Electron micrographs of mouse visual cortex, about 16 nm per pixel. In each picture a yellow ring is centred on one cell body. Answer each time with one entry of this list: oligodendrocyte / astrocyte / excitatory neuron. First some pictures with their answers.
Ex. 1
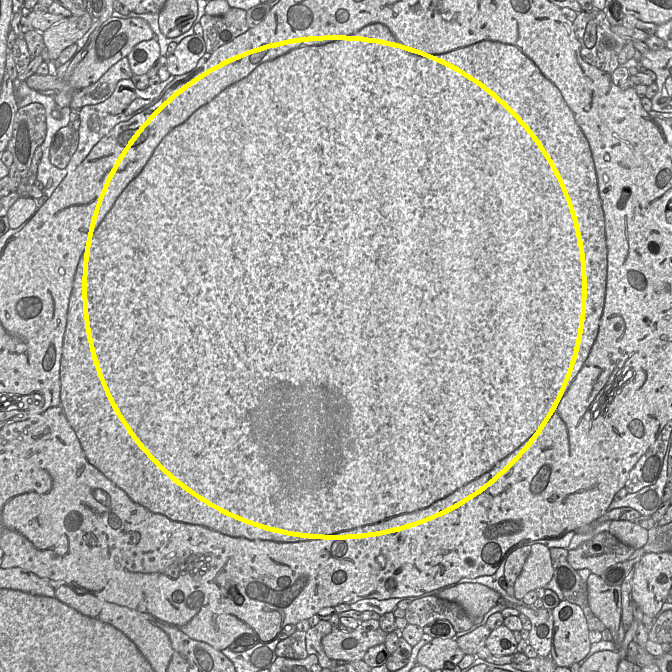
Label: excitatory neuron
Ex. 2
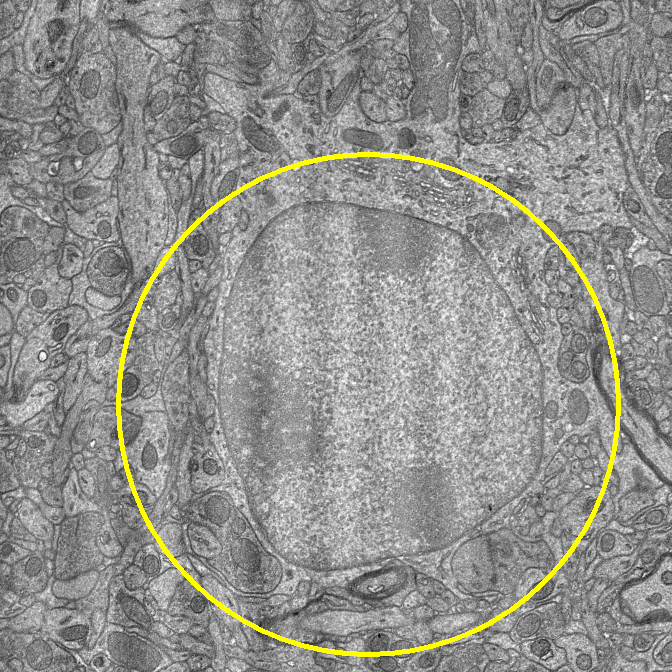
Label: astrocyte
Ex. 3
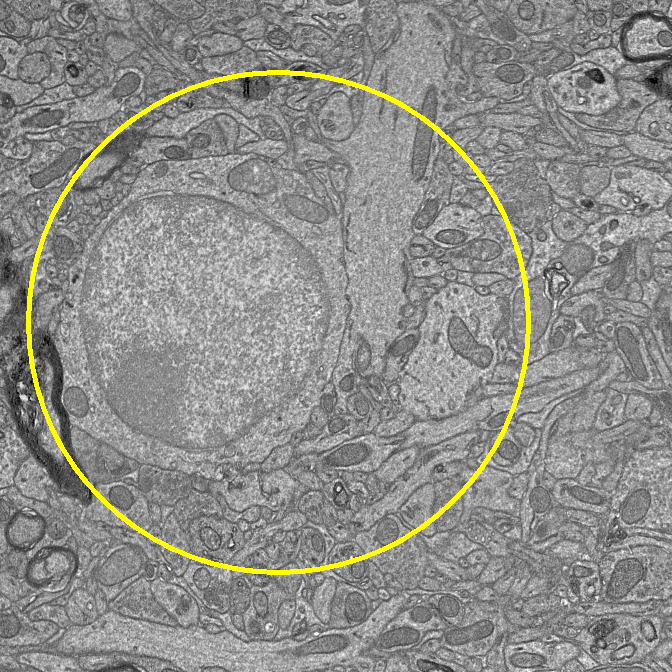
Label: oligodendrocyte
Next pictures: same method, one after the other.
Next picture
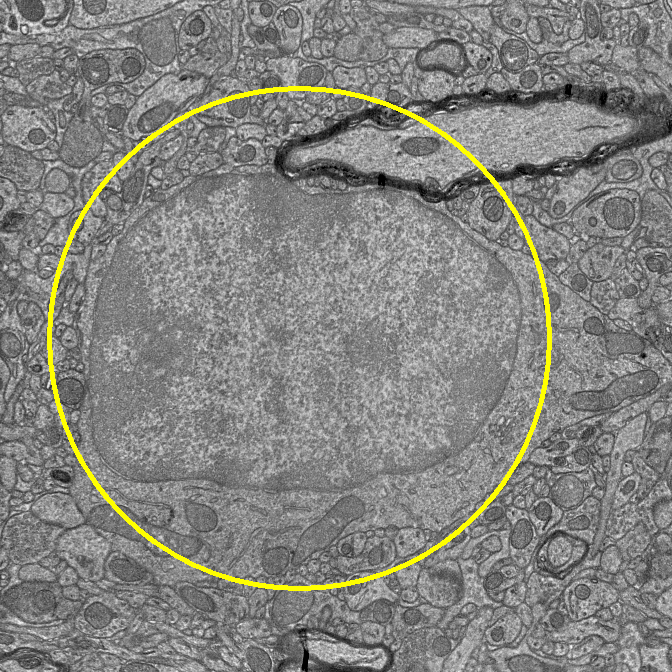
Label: oligodendrocyte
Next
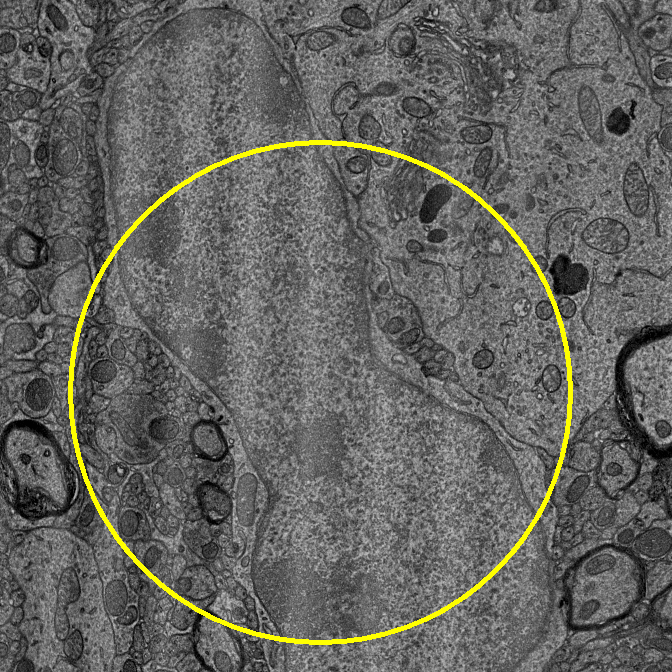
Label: oligodendrocyte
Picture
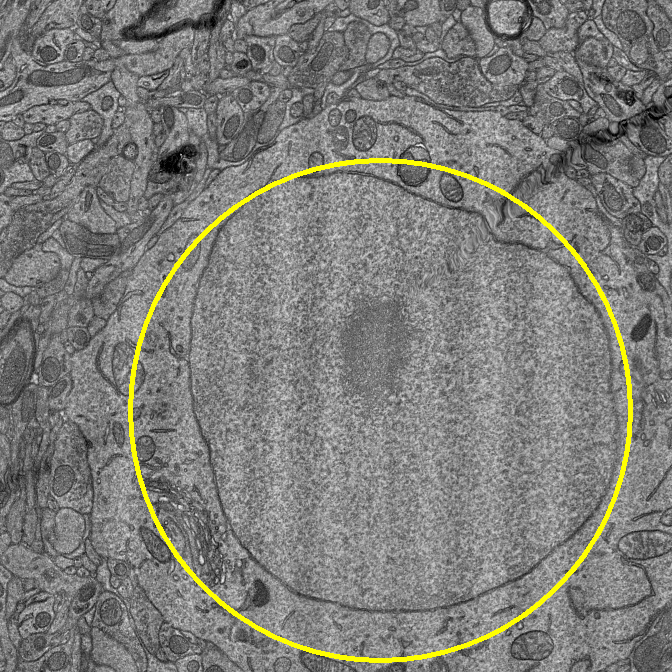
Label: excitatory neuron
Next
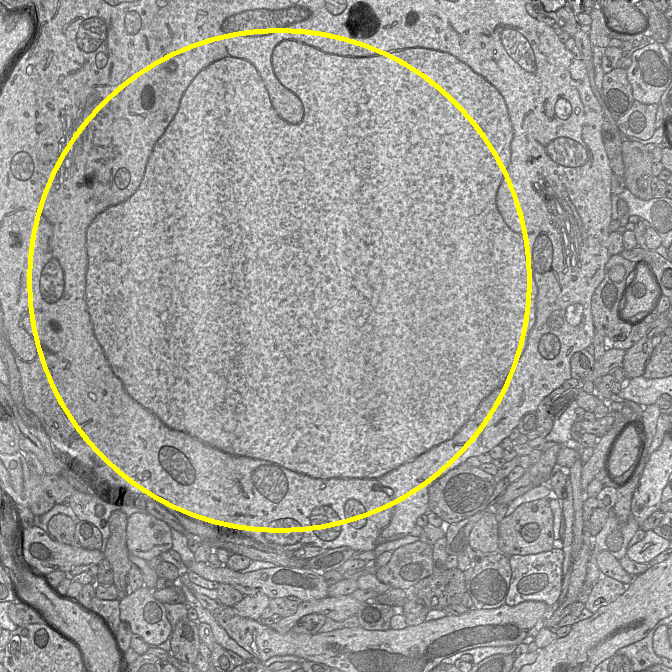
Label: excitatory neuron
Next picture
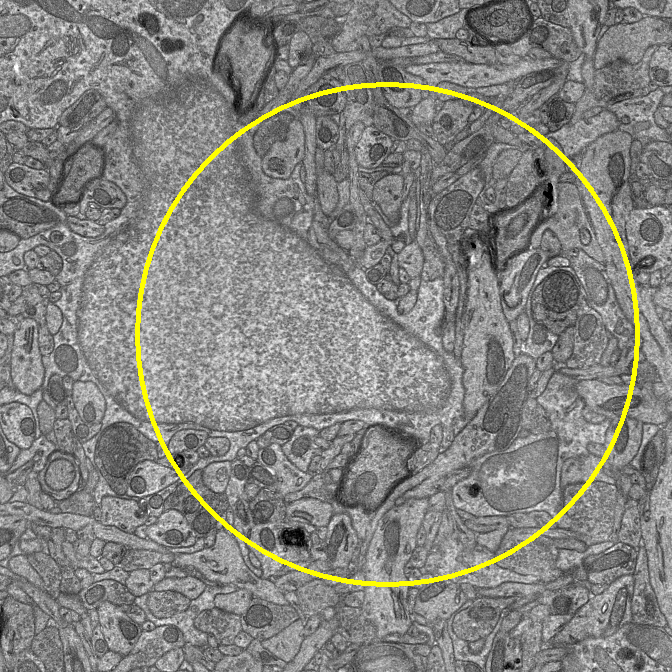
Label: astrocyte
